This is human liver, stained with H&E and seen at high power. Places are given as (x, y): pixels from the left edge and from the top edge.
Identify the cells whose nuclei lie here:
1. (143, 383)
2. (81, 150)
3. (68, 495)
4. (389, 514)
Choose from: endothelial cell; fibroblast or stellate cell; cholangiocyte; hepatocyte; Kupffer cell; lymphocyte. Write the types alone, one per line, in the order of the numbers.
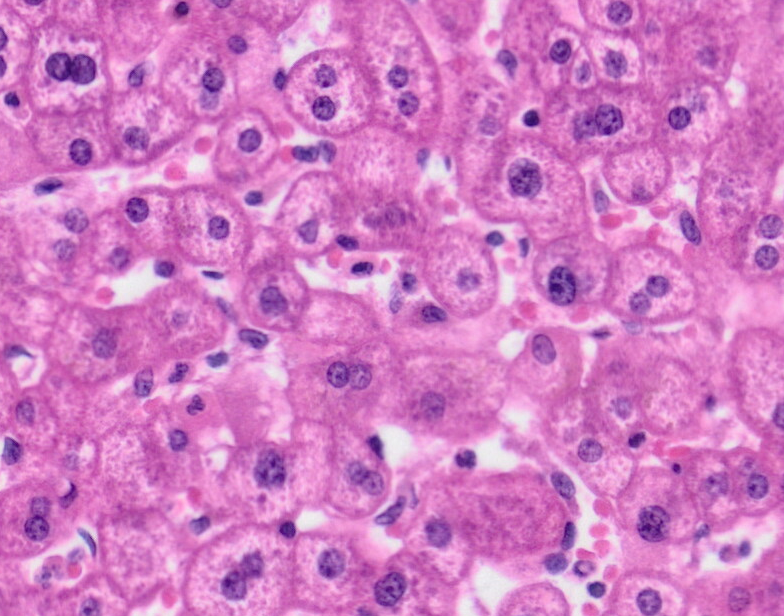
Kupffer cell
hepatocyte
fibroblast or stellate cell
Kupffer cell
